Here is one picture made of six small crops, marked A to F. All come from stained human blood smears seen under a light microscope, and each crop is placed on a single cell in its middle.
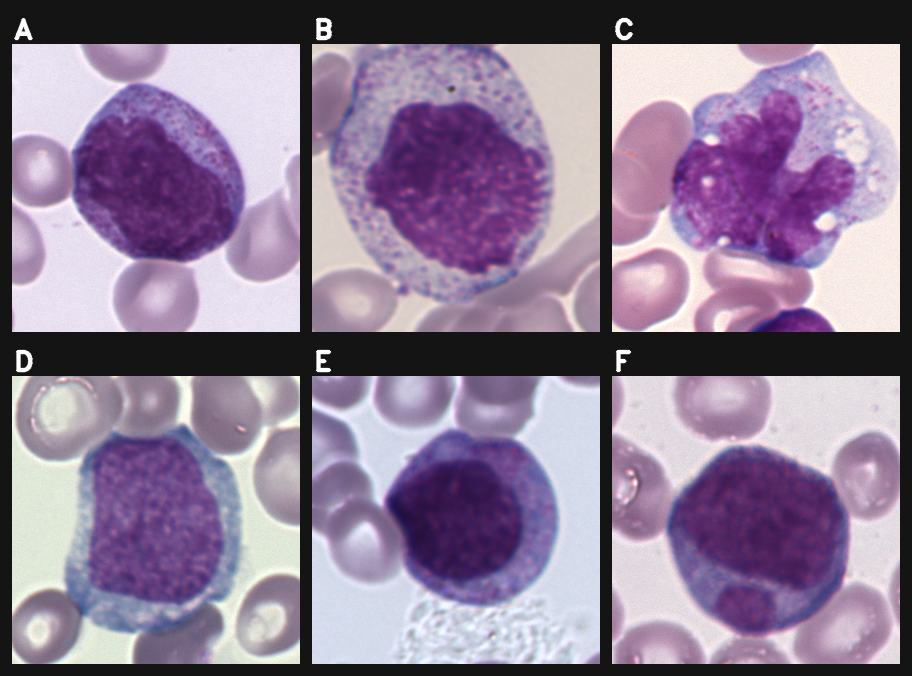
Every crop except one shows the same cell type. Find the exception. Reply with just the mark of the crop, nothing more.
C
